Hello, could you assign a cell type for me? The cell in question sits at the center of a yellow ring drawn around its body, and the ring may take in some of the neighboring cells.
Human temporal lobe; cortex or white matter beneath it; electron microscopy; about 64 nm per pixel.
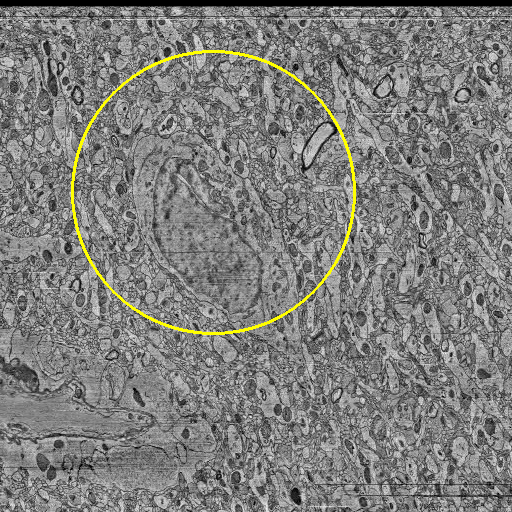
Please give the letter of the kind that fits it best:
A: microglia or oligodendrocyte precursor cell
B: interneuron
B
